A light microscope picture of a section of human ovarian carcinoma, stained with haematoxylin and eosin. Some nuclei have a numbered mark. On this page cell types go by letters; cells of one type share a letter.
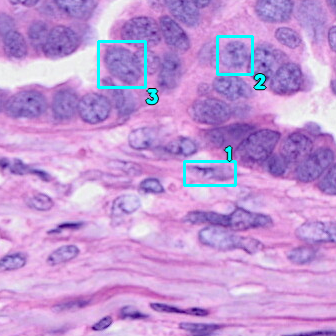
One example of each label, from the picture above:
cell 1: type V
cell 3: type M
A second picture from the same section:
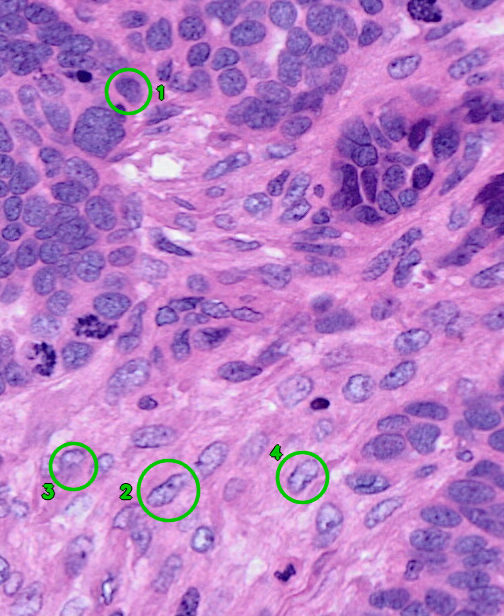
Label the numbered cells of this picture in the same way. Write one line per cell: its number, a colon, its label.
1: type M
2: type V
3: type V
4: type V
